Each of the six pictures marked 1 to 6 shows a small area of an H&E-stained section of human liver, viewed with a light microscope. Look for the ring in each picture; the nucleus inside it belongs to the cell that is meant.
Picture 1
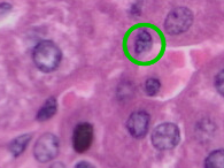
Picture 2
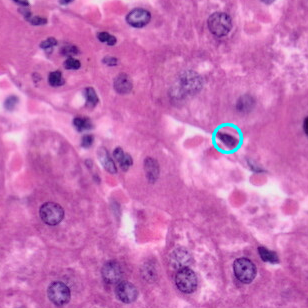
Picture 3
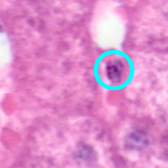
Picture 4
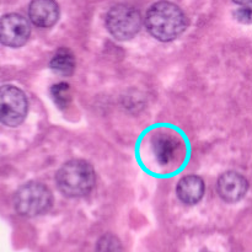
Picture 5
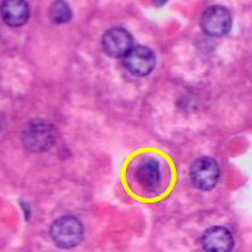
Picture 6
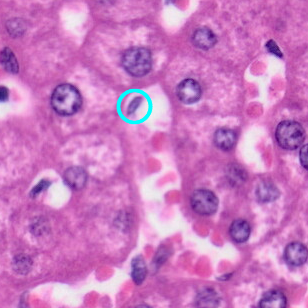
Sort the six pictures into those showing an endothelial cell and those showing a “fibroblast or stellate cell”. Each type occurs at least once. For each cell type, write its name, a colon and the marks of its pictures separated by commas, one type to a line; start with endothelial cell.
endothelial cell: 3, 4, 5, 6
fibroblast or stellate cell: 1, 2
